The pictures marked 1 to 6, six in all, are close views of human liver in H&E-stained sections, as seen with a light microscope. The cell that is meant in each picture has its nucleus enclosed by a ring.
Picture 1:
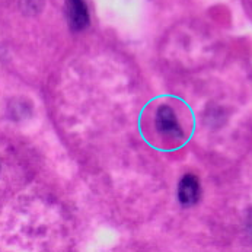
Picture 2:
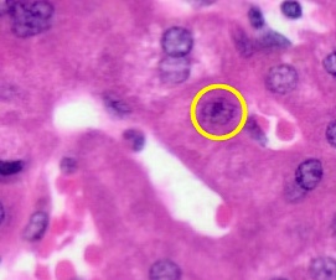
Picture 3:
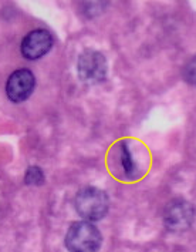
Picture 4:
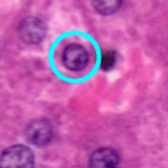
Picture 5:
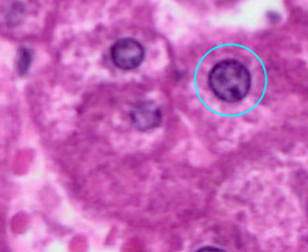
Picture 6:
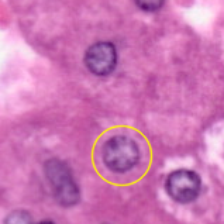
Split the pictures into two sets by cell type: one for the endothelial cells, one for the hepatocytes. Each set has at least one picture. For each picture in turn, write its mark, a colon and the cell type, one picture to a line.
1: endothelial cell
2: hepatocyte
3: endothelial cell
4: hepatocyte
5: hepatocyte
6: hepatocyte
